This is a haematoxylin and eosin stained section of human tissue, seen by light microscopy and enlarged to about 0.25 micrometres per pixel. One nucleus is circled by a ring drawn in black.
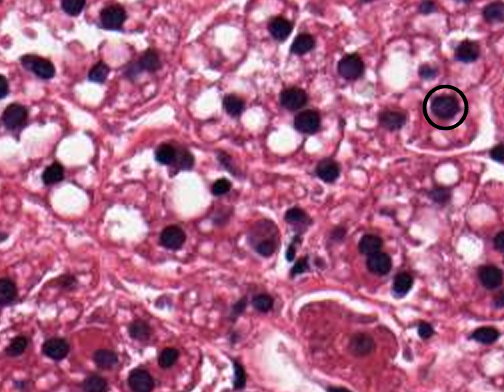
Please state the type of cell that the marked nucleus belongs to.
adrenal cortical cell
